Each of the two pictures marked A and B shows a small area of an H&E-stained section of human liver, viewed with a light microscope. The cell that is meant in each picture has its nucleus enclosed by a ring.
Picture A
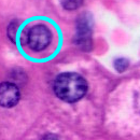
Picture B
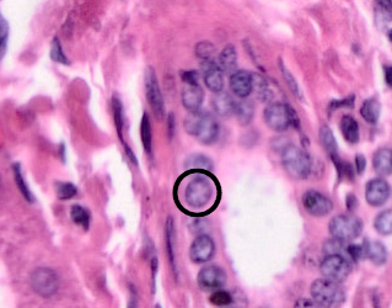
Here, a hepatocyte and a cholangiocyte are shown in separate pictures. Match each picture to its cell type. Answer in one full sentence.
In picture A the cell is a hepatocyte; in picture B, a cholangiocyte.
